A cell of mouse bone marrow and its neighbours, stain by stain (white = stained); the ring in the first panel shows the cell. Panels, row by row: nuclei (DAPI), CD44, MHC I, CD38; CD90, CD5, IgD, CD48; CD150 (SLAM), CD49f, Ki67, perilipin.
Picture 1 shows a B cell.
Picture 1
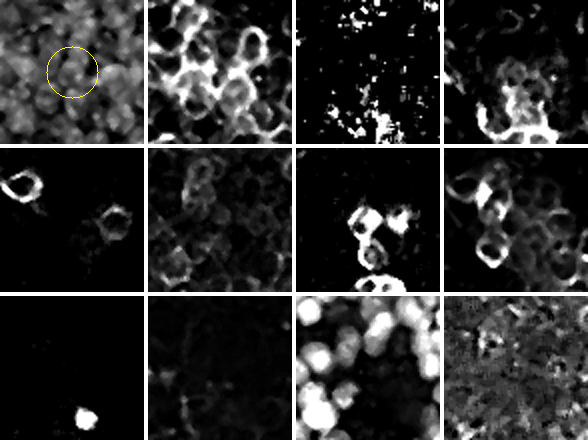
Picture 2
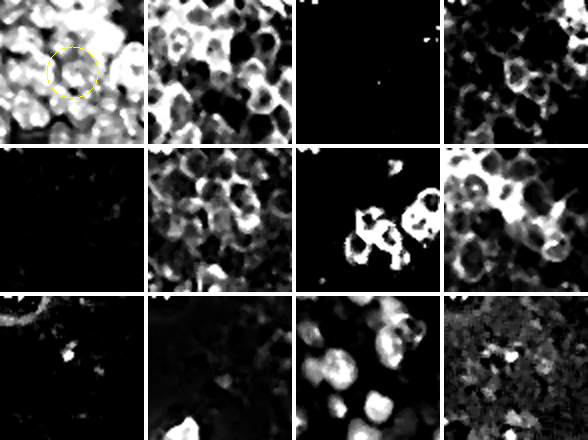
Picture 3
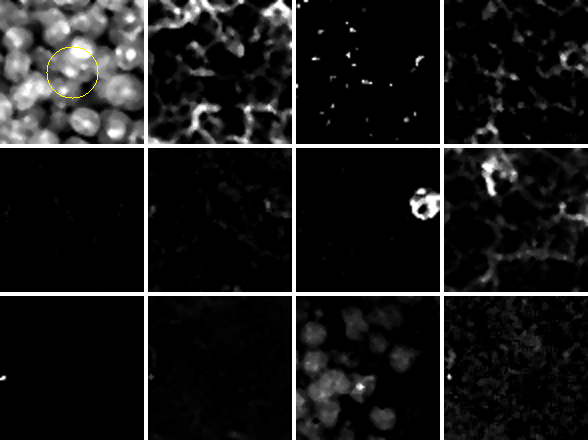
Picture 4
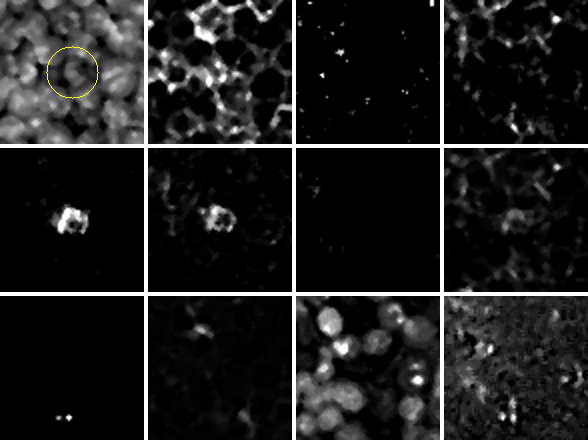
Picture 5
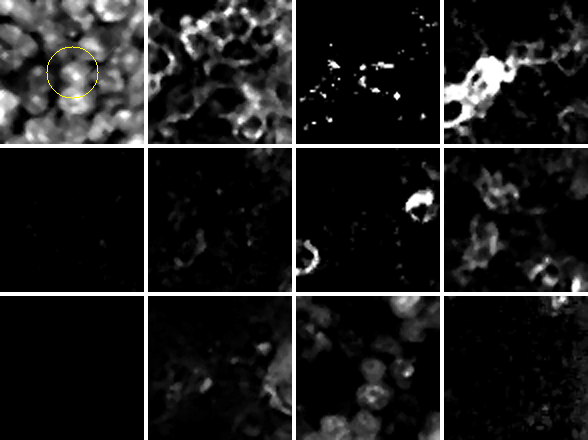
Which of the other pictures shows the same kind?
Picture 2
